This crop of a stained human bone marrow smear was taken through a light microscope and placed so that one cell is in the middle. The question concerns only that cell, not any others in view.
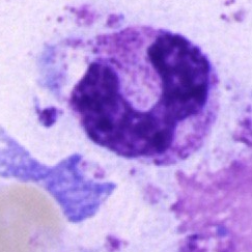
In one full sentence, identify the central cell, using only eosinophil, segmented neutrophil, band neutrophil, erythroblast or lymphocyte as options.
The cell centered in this field of view is a band neutrophil.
